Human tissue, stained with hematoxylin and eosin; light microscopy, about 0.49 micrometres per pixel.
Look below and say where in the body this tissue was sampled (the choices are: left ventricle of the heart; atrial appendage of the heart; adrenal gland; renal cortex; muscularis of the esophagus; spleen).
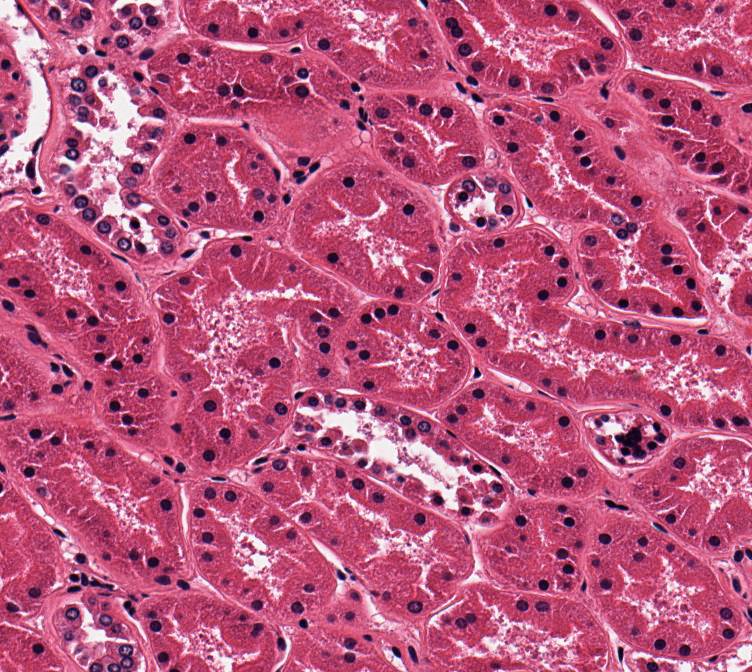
renal cortex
